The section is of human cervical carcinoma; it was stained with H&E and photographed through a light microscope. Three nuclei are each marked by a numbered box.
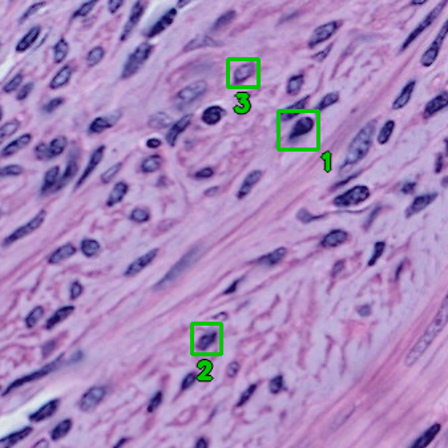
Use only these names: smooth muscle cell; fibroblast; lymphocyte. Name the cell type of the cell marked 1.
lymphocyte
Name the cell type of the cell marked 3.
smooth muscle cell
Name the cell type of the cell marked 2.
smooth muscle cell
